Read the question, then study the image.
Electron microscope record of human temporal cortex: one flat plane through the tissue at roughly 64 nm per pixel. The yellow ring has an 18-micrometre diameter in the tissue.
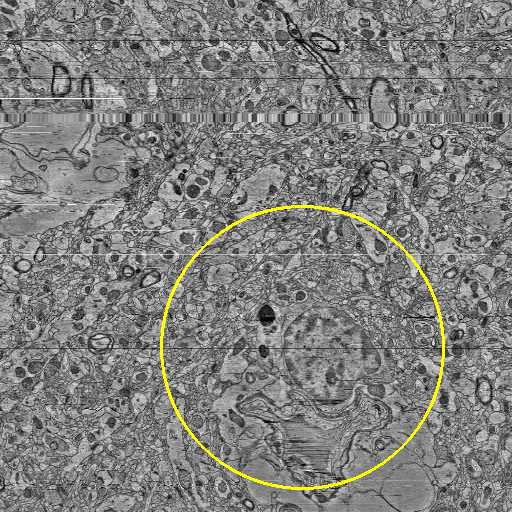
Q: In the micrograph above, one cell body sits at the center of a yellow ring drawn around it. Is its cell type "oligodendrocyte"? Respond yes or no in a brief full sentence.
Yes, its cell type is that one.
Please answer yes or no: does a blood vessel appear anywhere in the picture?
Yes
